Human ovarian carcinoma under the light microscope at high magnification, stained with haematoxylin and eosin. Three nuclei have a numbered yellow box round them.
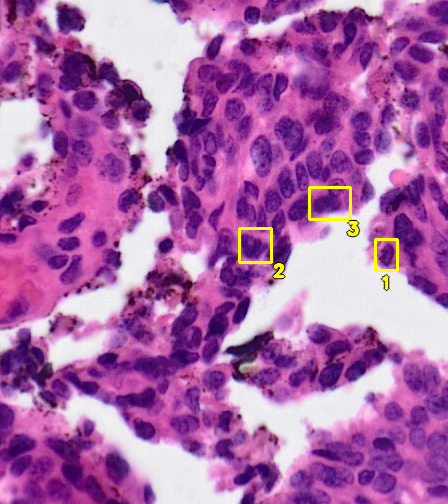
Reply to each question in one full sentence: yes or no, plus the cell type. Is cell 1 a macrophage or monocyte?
Yes, the cell indicated by number 1 is a macrophage or monocyte.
